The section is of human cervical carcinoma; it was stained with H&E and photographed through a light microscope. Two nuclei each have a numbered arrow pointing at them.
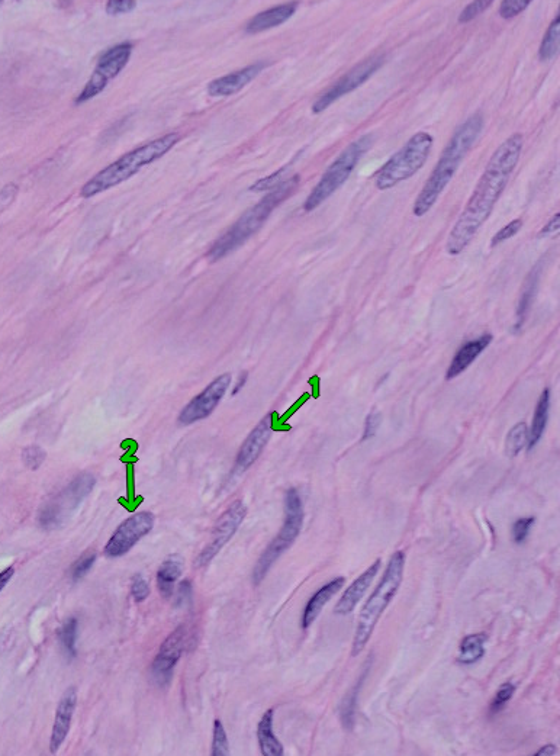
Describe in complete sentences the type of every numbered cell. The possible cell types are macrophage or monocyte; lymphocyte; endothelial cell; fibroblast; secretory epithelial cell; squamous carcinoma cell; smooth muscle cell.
Cell 1 is a smooth muscle cell. Cell 2 is a fibroblast.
